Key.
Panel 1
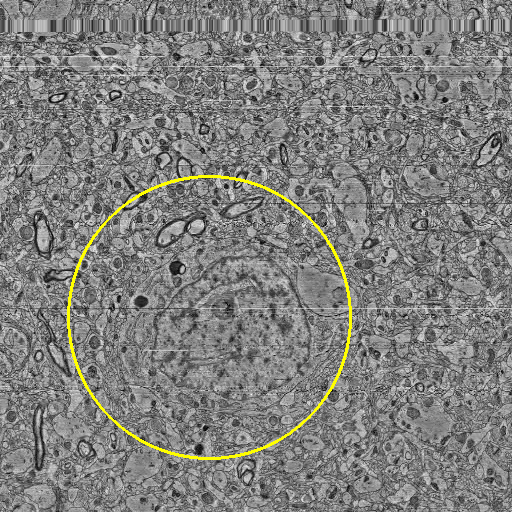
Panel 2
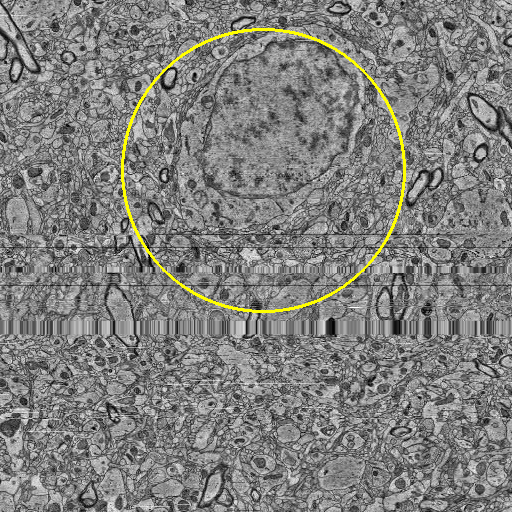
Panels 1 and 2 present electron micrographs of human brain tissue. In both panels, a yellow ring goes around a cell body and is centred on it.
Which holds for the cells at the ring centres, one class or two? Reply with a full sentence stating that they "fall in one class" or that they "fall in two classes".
Taken together, the ring-centre cells of the two panels fall in one class.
